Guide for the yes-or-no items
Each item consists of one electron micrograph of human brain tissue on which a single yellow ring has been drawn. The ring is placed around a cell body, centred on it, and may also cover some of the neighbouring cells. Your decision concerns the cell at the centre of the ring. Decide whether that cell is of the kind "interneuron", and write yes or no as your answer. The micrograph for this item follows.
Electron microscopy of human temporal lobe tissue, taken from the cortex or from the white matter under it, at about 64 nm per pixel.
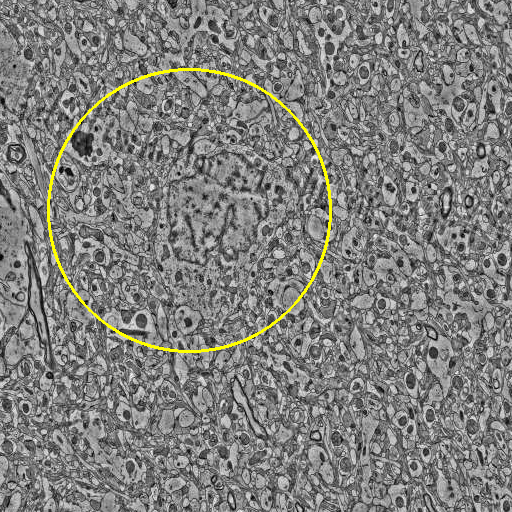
yes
